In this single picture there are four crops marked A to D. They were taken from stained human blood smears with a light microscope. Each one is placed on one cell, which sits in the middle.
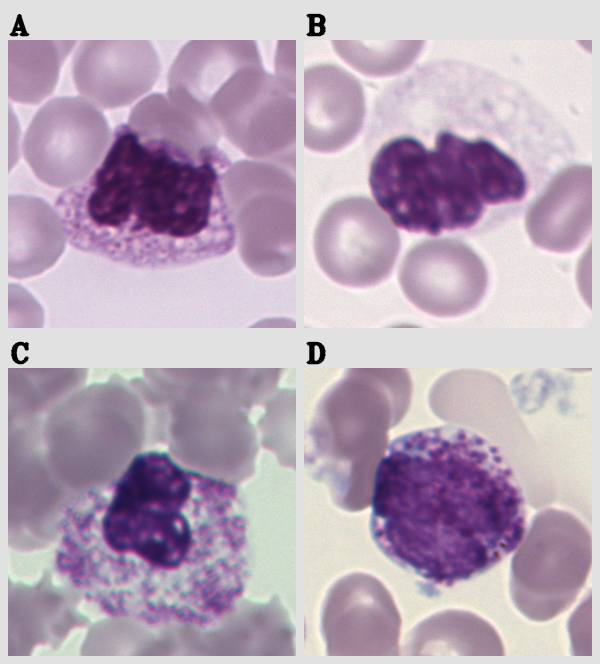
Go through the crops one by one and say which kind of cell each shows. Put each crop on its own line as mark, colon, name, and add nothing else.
A: segmented neutrophil
B: segmented neutrophil
C: segmented neutrophil
D: basophil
